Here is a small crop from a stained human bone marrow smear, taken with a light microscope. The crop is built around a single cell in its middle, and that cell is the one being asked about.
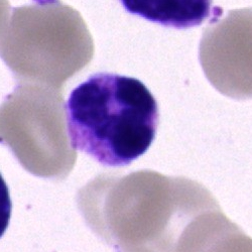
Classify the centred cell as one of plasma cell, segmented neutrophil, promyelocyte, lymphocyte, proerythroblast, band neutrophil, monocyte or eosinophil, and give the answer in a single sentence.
In the middle of this smear crop is a segmented neutrophil.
